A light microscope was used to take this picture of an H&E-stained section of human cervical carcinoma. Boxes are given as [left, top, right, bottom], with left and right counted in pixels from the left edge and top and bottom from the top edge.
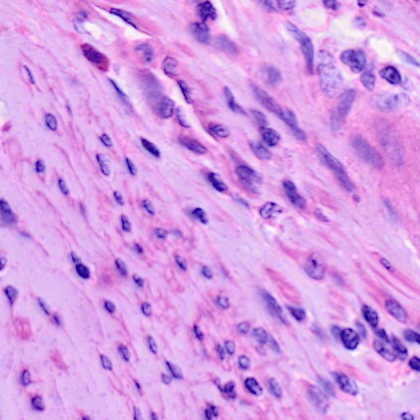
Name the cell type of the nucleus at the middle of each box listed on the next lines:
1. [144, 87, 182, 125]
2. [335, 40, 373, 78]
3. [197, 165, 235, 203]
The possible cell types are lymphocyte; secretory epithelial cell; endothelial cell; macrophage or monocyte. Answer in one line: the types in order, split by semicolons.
endothelial cell; lymphocyte; lymphocyte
